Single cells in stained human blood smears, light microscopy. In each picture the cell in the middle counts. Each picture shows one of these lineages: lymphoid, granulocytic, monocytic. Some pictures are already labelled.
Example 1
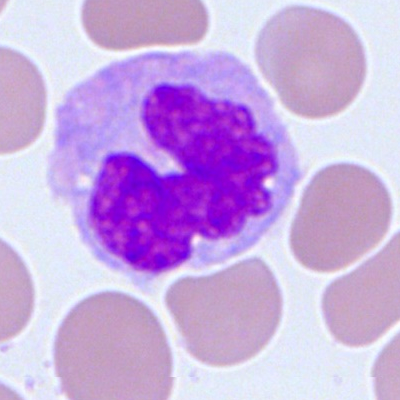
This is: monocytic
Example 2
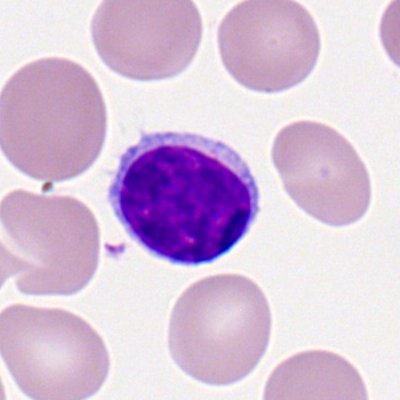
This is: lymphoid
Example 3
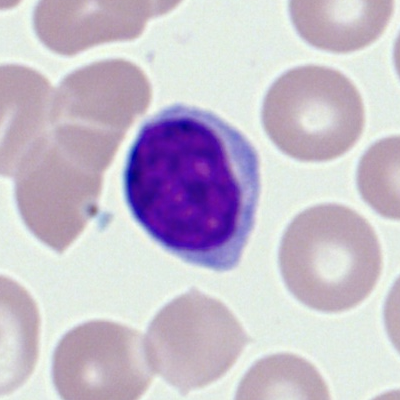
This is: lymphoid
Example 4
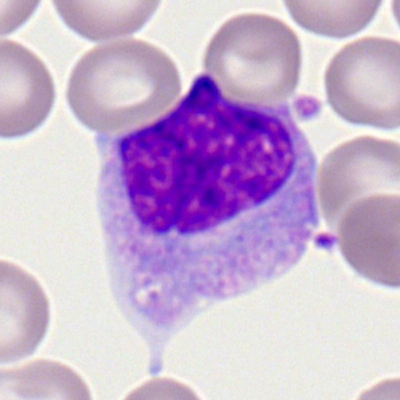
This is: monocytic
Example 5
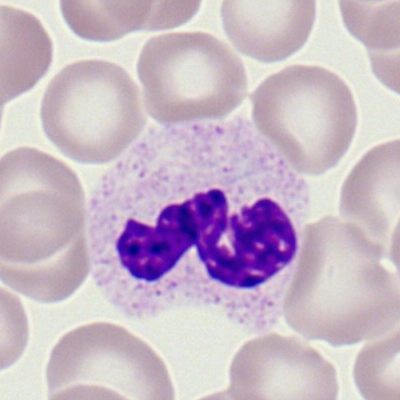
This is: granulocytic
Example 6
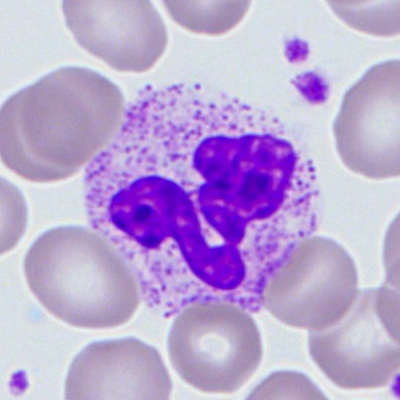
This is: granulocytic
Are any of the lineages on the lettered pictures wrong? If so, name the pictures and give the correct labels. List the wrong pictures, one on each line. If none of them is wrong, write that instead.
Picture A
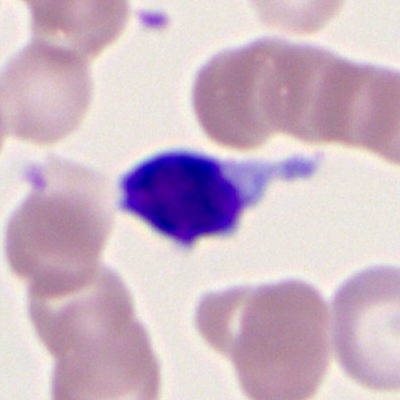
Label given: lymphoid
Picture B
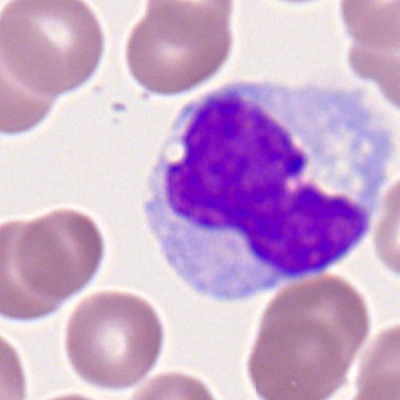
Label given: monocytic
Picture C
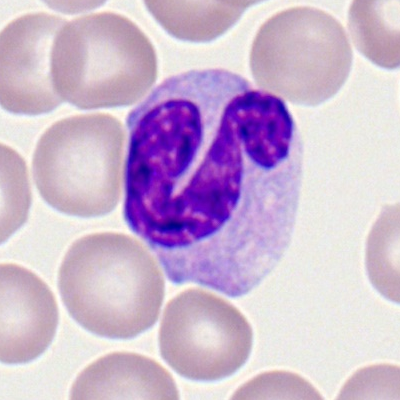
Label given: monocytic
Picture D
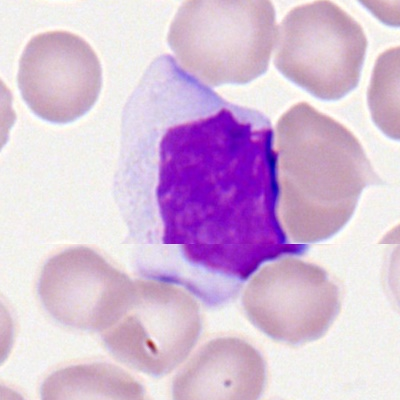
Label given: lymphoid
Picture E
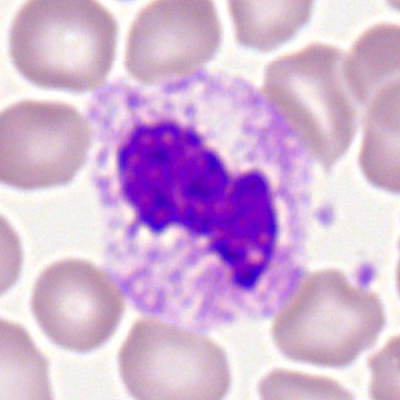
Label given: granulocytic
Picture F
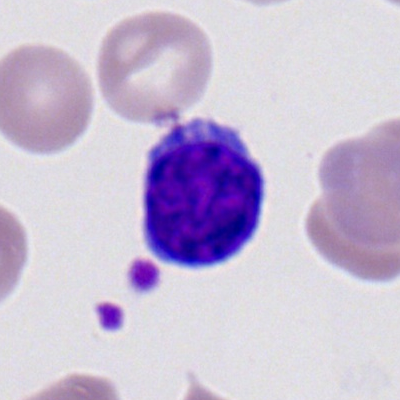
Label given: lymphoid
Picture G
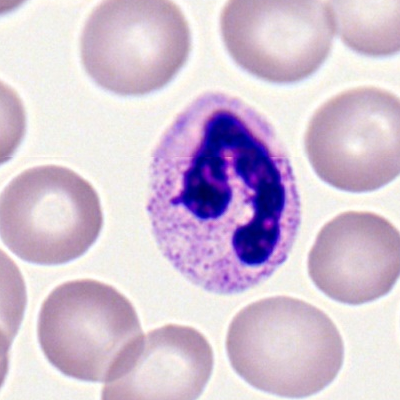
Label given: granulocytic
All labels are correct.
